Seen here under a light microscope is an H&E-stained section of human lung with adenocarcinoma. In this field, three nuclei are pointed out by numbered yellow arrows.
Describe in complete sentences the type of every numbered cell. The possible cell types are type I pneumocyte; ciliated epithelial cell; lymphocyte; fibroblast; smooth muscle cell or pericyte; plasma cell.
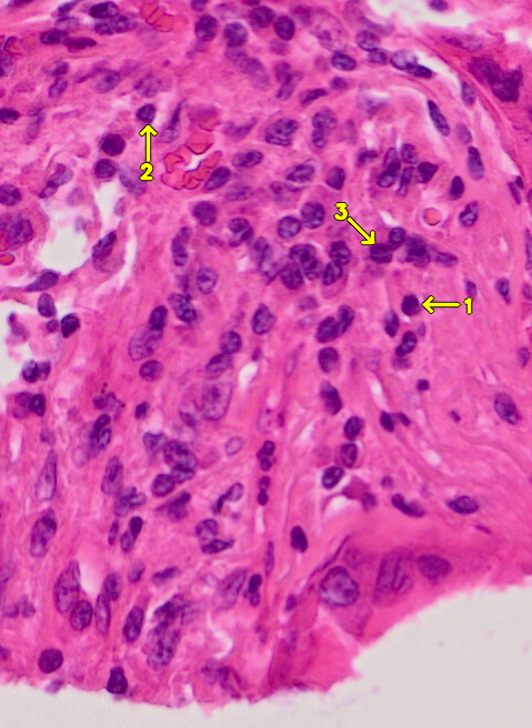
Cells 1 and 2 are lymphocytes. Cell 3 is a plasma cell.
